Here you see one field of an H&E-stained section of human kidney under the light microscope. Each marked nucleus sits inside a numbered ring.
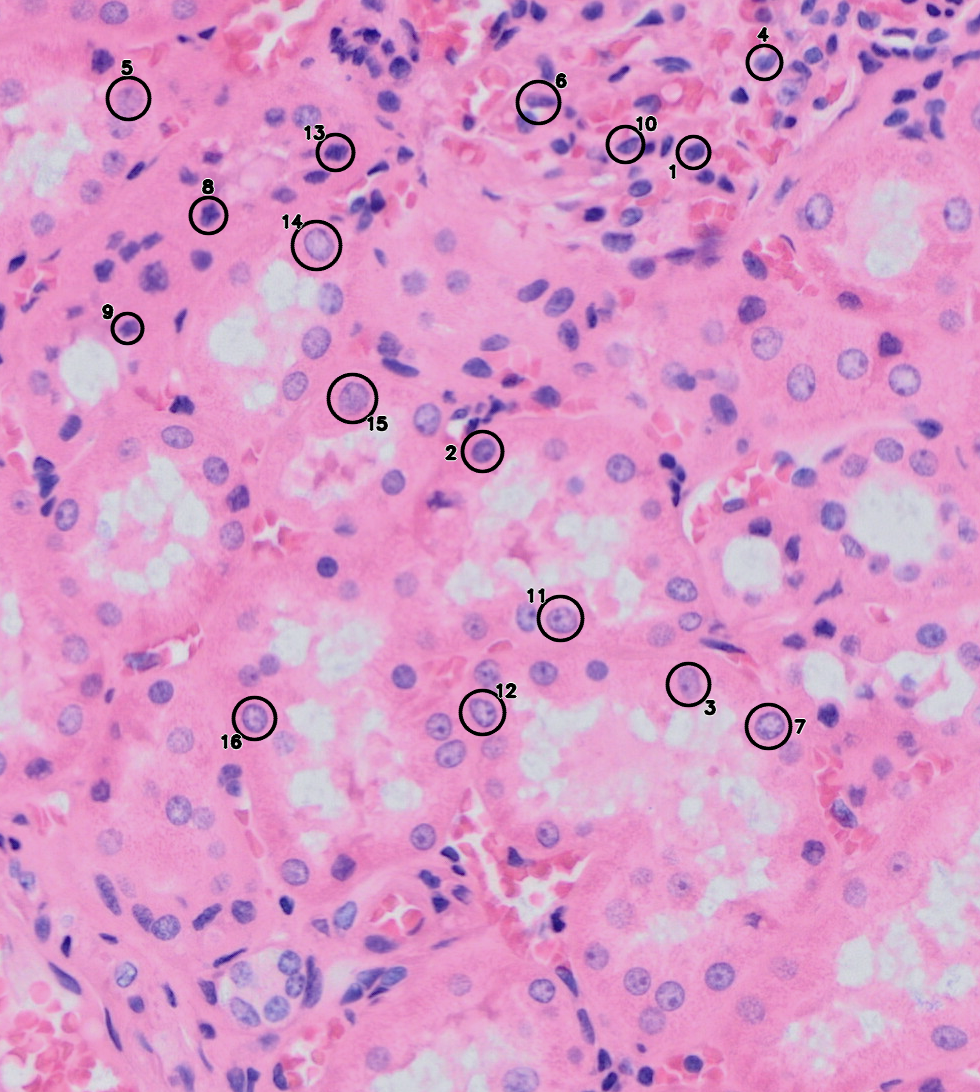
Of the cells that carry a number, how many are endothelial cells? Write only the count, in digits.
4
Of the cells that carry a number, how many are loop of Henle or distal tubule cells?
3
